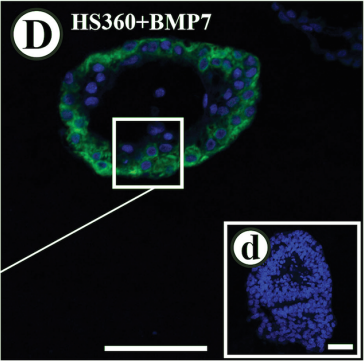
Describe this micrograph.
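A rounded cell sphere is seen whose outer wall is a ring of closely packed cells with round blue nuclei surrounded by green cytoplasm. The centre of the sphere is largely empty, with only a few scattered blue nuclei lacking green.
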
